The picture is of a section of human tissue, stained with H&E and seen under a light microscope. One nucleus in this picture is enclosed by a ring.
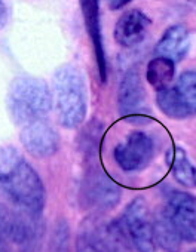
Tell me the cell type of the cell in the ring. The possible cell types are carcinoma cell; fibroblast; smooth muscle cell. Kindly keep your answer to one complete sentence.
The identity of the cell in the ring: it is a carcinoma cell.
